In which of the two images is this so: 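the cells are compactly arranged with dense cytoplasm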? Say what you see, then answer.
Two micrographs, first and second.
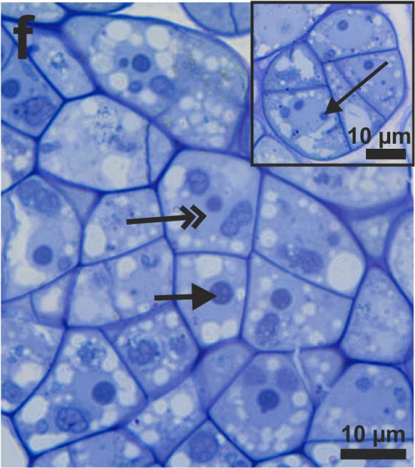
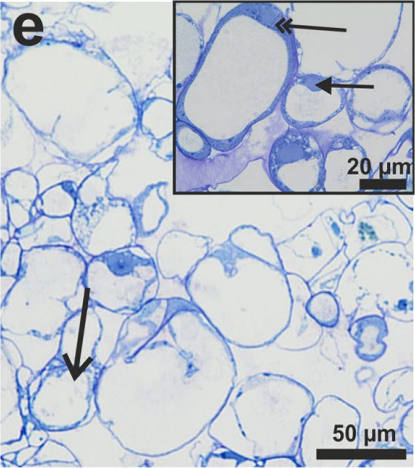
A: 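The first image. First image: polygonal cells are pressed tightly together, filled with blue-stained cytoplasm. Second image: large rounded cells are mostly empty and pale, with gaps between them.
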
